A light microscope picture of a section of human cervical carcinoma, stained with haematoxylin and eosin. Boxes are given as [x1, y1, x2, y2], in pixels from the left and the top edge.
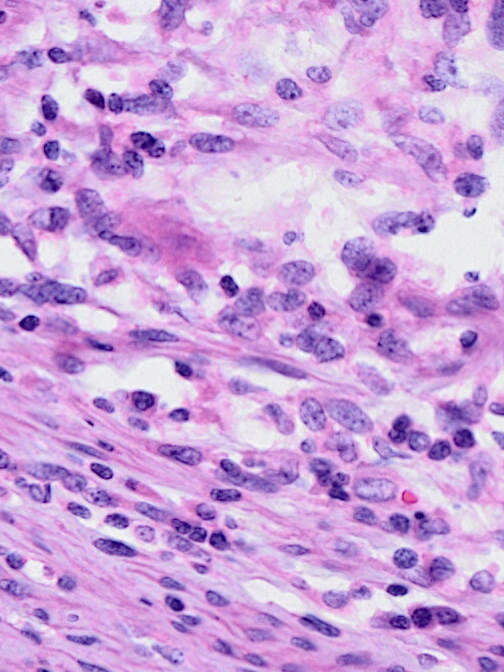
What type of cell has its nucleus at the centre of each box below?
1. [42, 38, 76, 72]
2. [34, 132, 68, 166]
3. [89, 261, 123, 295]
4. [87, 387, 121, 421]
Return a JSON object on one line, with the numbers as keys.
{"1": "lymphocyte", "2": "lymphocyte", "3": "macrophage or monocyte", "4": "lymphocyte"}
